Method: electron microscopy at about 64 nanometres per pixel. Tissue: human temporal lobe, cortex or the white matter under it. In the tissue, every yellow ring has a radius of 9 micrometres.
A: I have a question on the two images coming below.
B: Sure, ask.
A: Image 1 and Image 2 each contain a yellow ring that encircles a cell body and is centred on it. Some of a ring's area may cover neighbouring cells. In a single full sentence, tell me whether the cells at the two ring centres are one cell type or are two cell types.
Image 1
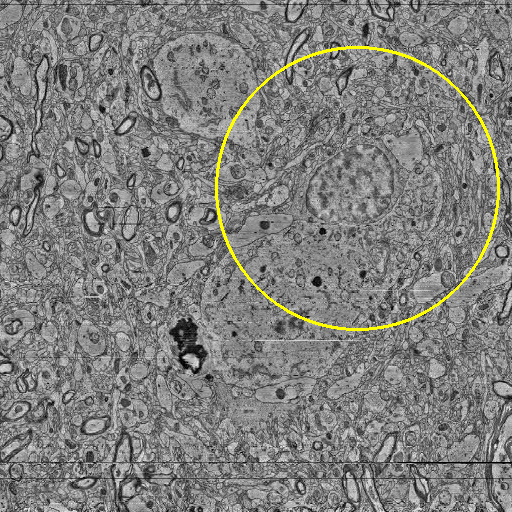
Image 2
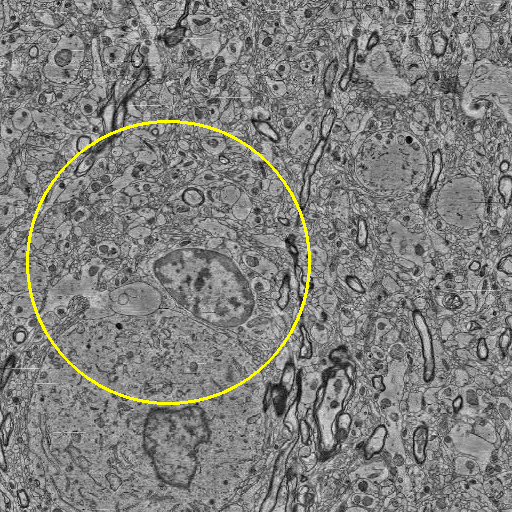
As for the ring-centre cells, the one in Image 1 and the one in Image 2 are two cell types.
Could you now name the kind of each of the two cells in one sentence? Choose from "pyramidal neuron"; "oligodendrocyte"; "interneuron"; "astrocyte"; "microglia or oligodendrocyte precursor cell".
The first ring encloses an oligodendrocyte; the second ring encloses a microglial cell or oligodendrocyte precursor cell.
